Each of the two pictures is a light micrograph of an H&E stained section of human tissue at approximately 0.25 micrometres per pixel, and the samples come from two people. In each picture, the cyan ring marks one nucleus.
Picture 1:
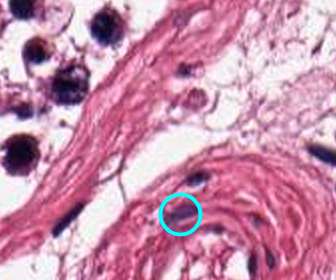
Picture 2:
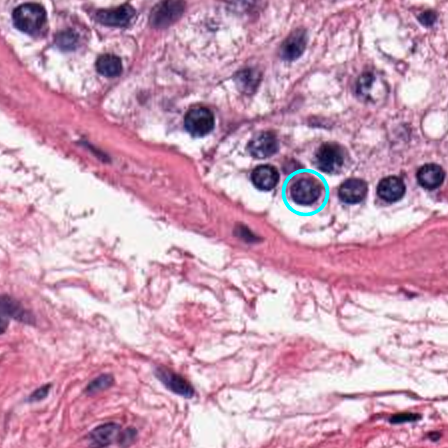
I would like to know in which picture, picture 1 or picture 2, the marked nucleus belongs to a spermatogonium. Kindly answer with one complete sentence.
Picture 2 is the one whose marked nucleus belongs to a spermatogonium.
